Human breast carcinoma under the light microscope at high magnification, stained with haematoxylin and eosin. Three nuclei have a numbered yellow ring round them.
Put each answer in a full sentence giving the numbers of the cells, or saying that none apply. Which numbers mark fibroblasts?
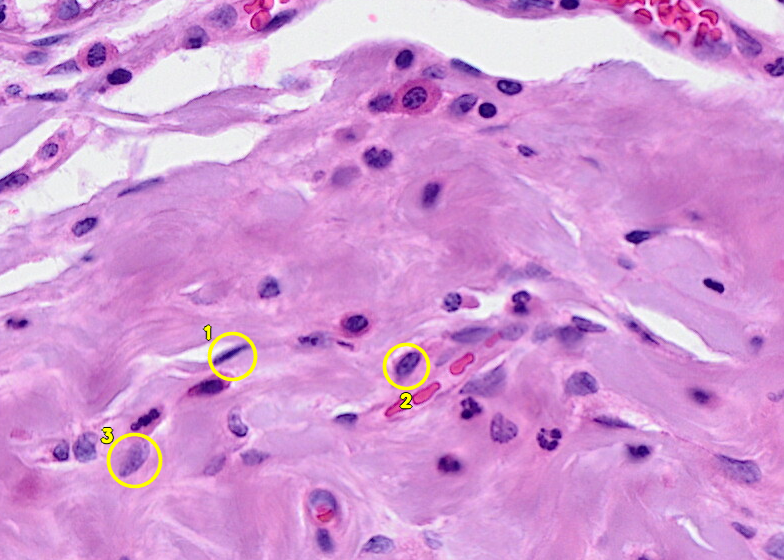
The cells with the number labels 1 and 3 are fibroblasts.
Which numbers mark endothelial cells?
The marked and numbered cells comprise no endothelial cells.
